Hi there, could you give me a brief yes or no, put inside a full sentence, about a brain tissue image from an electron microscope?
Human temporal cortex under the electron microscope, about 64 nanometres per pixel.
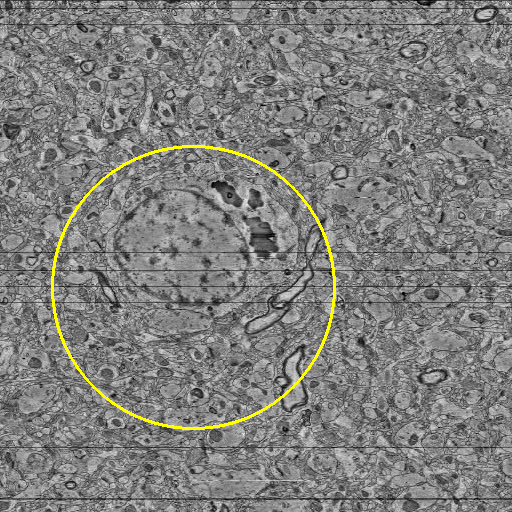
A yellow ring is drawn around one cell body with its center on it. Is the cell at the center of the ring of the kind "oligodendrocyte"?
No, the cell found at the center of the yellow ring is of a different kind.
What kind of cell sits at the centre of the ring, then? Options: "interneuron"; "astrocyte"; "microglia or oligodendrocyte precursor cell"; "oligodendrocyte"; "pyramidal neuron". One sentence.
The cell shown in the ring is an interneuron.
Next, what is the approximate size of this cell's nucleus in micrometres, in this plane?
In this plane, about 9 micrometres in length and 7 in width.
